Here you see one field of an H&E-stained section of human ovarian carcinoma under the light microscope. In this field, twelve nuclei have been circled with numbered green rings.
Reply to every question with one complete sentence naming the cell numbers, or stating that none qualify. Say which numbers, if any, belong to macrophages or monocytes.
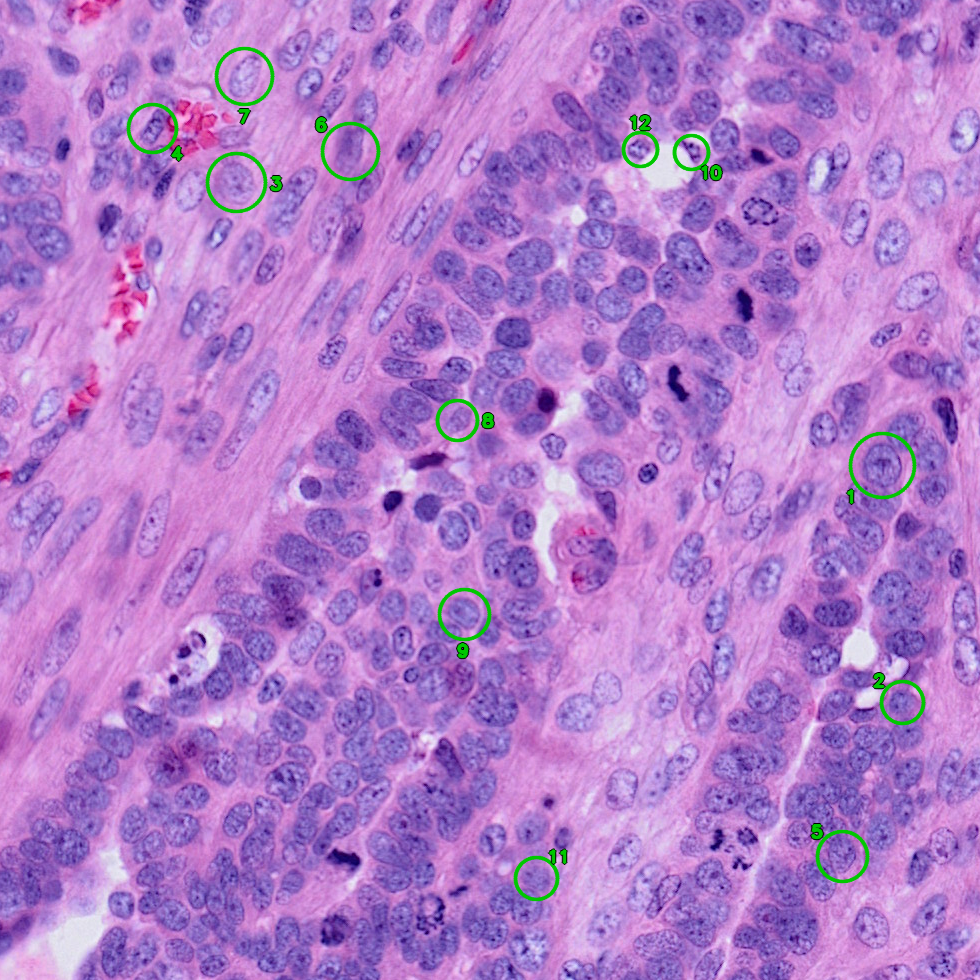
The cells referred to by numbers 10 and 12 are macrophages or monocytes.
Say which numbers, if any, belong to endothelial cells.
Of all the numbered cells, only one is an endothelial cell, and that is cell 4.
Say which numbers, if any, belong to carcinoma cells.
The cells given the numbers 1, 2, 5, 8, 9 and 11 are carcinoma cells.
